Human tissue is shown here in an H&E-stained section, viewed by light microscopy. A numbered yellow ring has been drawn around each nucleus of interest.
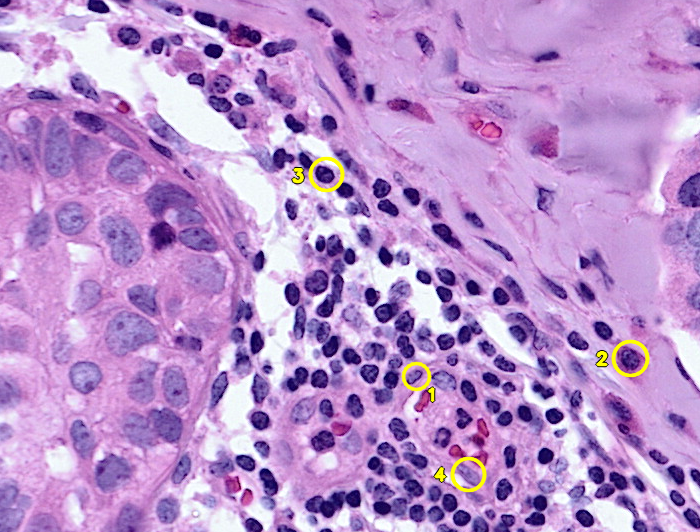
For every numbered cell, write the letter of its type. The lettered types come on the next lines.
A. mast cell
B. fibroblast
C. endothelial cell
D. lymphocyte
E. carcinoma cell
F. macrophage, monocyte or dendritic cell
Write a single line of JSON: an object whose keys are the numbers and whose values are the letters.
{"1": "C", "2": "A", "3": "D", "4": "C"}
